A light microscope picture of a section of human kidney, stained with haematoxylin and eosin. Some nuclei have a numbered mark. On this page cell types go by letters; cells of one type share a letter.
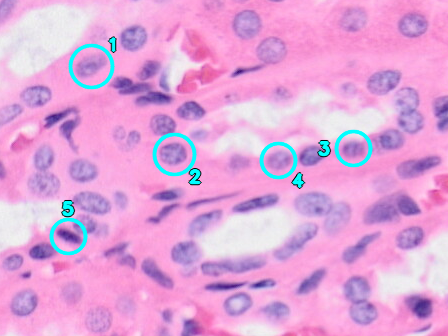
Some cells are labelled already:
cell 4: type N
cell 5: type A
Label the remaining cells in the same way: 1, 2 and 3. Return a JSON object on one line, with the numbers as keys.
{"1": "type A", "2": "type N", "3": "type N"}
